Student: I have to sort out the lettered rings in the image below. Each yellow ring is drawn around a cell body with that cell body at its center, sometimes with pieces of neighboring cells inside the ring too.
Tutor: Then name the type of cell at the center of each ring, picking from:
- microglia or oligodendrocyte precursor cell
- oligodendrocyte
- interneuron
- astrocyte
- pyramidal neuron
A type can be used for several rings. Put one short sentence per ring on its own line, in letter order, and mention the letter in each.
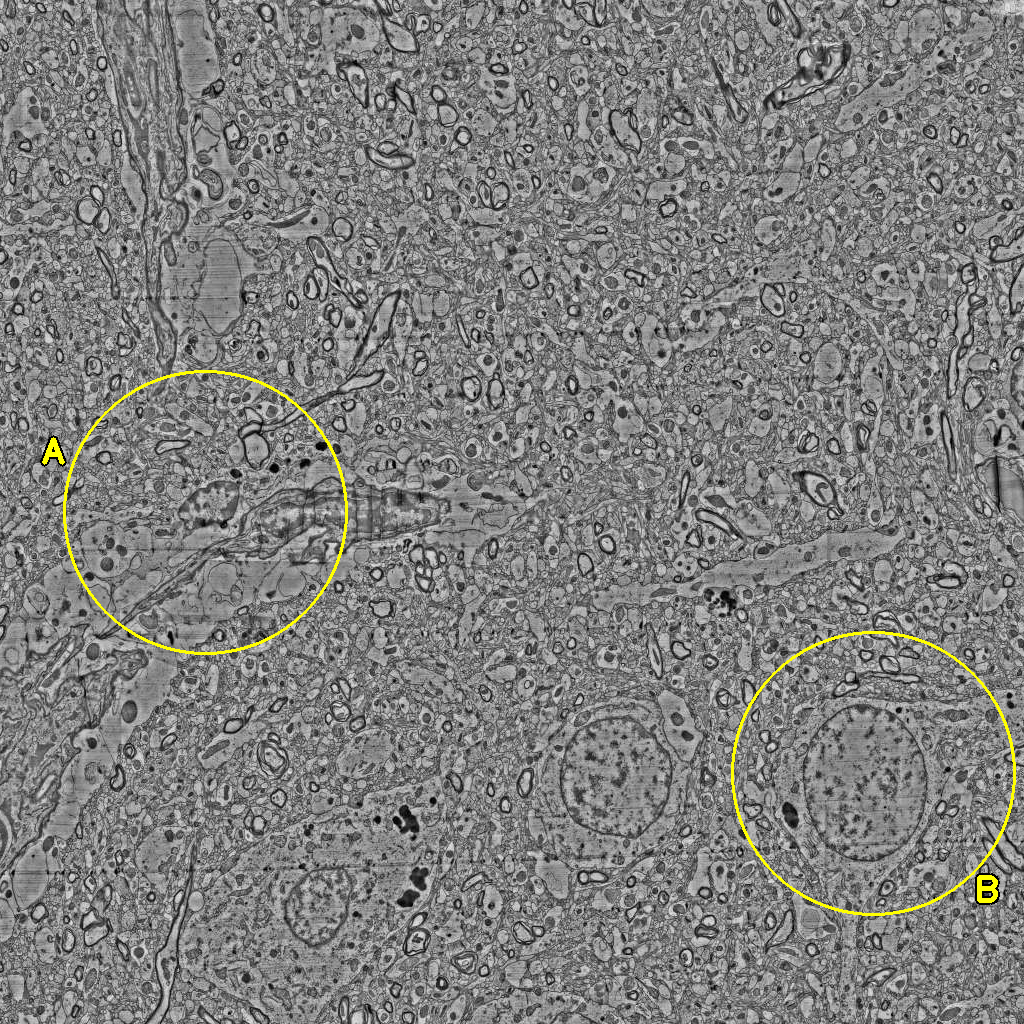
Inside ring A, at its center, is a microglial cell or oligodendrocyte precursor cell.
Inside ring B, at its center, is a pyramidal neuron.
